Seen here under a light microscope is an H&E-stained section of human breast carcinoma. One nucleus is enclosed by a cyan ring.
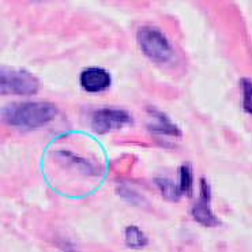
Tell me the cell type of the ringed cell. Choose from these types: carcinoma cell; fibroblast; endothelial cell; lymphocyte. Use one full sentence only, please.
As classified here, the ringed cell is an endothelial cell.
